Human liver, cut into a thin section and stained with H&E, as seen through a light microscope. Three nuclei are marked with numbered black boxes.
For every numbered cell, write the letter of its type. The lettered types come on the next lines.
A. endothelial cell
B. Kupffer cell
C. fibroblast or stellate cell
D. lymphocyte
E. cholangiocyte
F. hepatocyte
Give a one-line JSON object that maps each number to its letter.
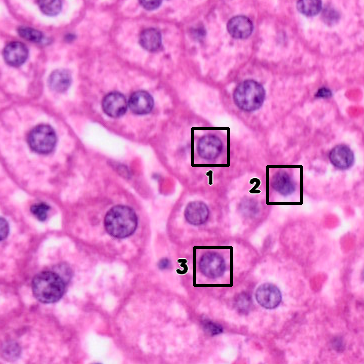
{"1": "F", "2": "A", "3": "F"}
